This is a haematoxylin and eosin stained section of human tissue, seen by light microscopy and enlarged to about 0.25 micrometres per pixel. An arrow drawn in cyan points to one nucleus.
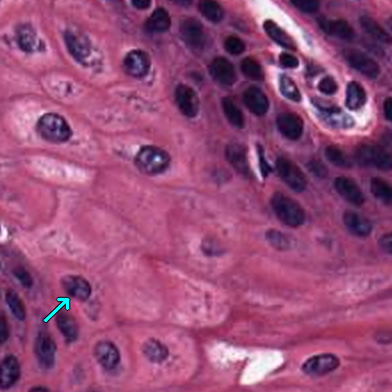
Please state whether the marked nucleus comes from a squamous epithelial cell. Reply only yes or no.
yes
